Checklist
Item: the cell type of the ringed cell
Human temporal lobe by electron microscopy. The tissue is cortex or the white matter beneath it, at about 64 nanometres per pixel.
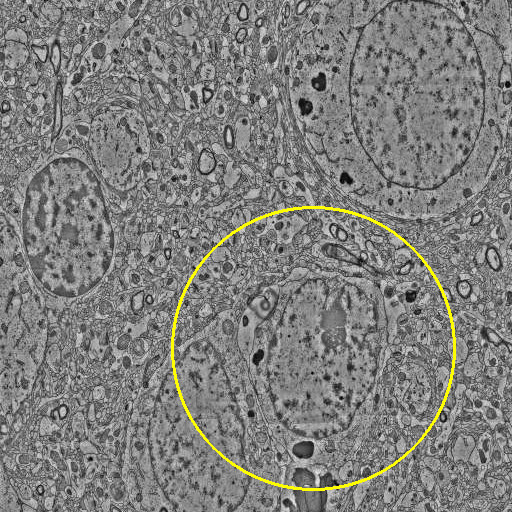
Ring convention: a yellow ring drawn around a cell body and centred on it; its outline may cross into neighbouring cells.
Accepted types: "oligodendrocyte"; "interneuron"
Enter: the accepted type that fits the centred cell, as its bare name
interneuron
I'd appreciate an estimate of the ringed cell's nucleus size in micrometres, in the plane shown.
Approximately 10 by 7 micrometers in this plane.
